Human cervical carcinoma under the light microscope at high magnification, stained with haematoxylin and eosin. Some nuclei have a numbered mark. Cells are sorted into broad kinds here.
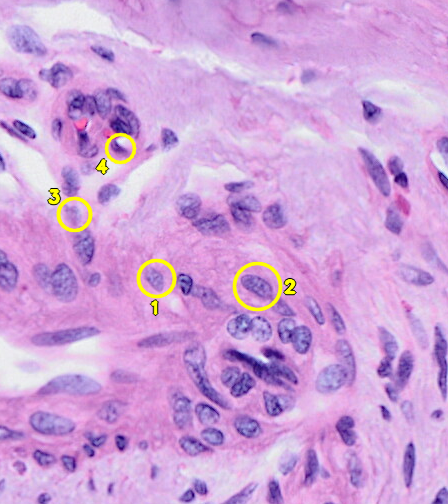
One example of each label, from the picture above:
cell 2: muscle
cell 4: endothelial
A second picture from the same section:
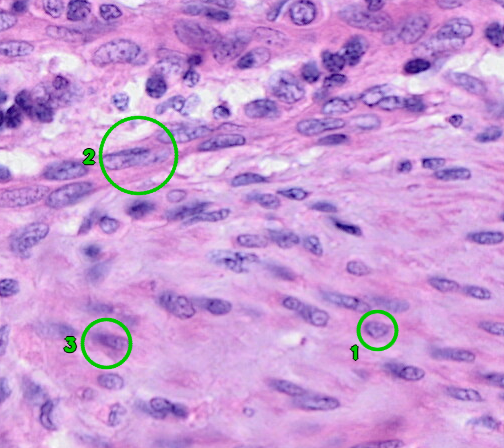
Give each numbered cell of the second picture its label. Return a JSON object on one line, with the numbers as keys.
{"1": "muscle", "2": "endothelial", "3": "muscle"}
